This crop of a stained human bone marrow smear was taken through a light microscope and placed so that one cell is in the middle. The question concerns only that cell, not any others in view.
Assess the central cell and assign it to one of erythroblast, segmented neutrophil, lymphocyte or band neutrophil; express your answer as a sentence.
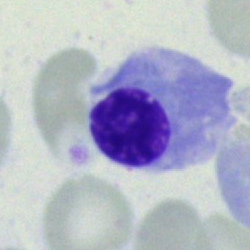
The cell positioned in the middle of the field is an erythroblast.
